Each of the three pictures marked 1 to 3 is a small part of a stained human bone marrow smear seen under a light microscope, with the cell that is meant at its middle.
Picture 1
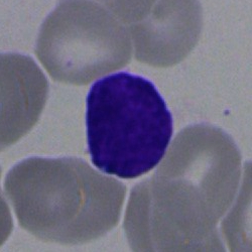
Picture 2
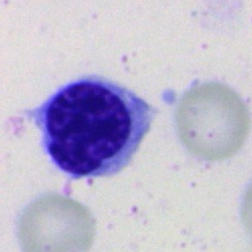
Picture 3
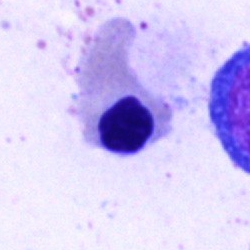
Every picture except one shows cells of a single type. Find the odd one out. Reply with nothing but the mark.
1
